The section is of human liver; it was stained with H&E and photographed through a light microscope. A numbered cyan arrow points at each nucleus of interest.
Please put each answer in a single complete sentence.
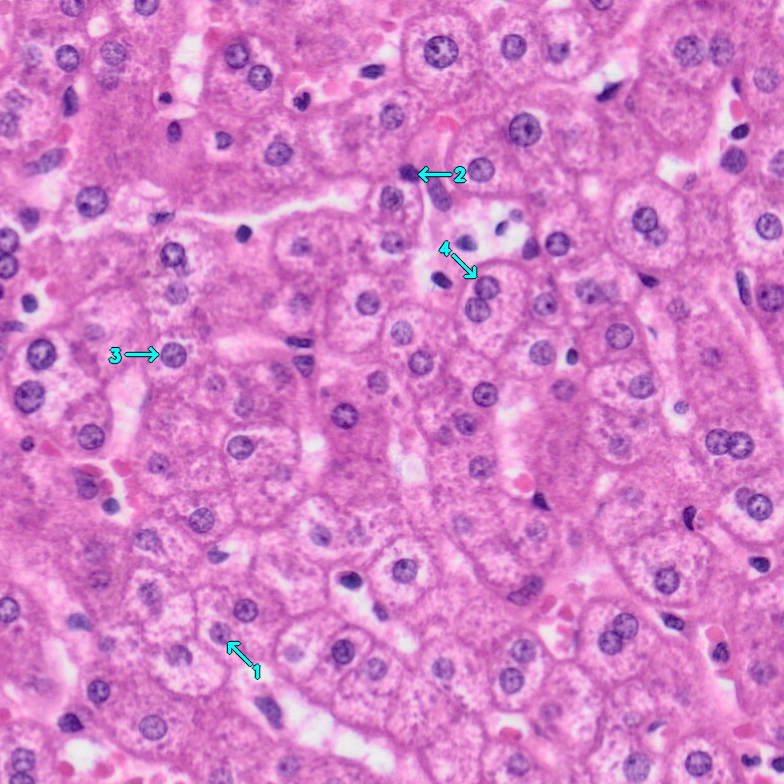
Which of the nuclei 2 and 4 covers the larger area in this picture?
Nucleus 4 covers more area, about 1.5 times as much as nucleus 2.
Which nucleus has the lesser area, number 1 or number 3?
Number 1 is smaller, since number 3 takes up about 1.5 times as much area.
